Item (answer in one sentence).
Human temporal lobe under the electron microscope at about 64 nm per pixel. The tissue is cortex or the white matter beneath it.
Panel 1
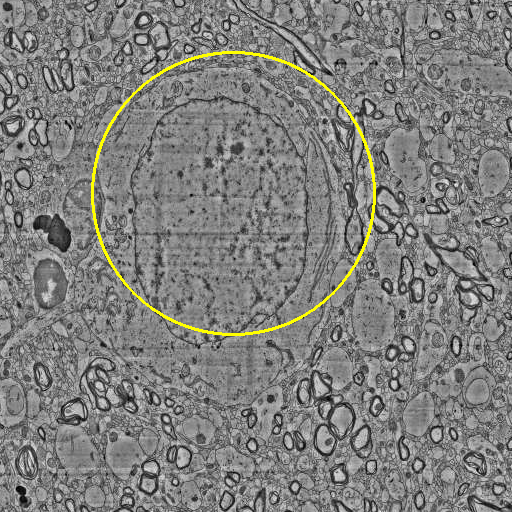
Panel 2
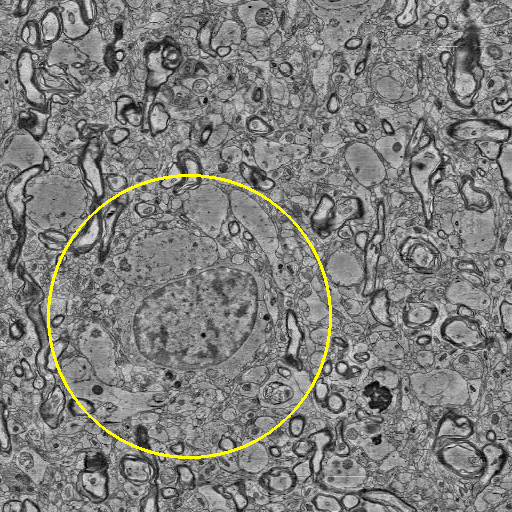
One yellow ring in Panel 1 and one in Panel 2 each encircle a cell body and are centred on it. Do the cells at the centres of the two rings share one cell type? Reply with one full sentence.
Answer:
No, Panel 1 and Panel 2 show cells of two types at the centres of their rings.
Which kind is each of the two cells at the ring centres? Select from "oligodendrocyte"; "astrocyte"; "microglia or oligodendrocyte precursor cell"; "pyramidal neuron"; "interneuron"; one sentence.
The cell at the centre of the ring is a pyramidal neuron in the first picture and an oligodendrocyte in the second.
